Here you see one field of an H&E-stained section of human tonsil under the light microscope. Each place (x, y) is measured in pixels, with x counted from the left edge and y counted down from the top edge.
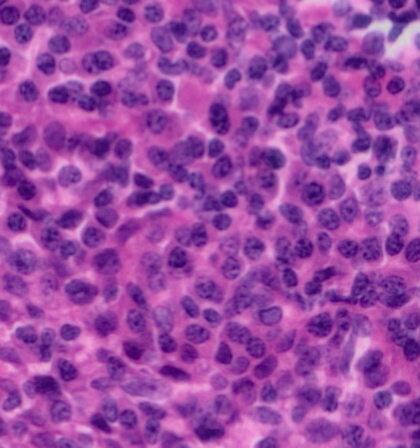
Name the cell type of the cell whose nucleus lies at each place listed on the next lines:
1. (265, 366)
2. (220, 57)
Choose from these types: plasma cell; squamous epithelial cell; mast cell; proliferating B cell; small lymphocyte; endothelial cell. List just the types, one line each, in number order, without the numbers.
squamous epithelial cell
plasma cell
